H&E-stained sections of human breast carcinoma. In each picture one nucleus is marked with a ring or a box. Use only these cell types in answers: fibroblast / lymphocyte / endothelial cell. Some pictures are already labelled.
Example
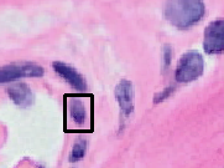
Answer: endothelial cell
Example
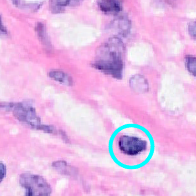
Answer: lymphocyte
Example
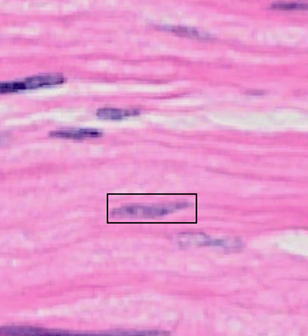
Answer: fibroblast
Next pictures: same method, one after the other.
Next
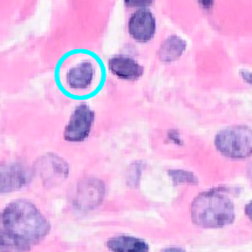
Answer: lymphocyte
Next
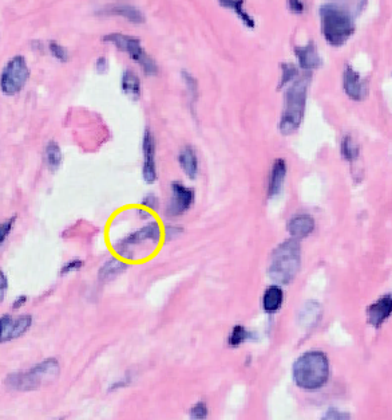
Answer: endothelial cell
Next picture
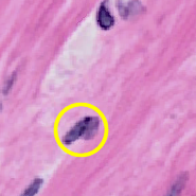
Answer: lymphocyte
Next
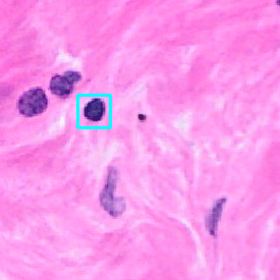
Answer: lymphocyte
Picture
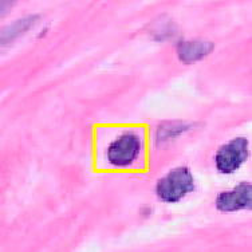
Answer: lymphocyte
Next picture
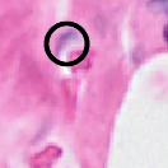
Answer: endothelial cell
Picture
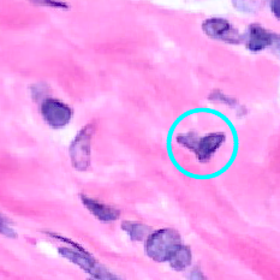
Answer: lymphocyte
